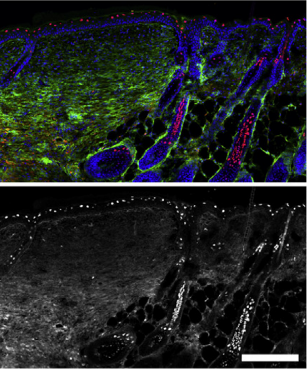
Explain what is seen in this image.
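This is a section of skin with a wound area in the middle, covered by a continuous epidermis on top. The red channel alone shows bright dots along the skin surface and within the follicles, with much weaker signal in the central dermis.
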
